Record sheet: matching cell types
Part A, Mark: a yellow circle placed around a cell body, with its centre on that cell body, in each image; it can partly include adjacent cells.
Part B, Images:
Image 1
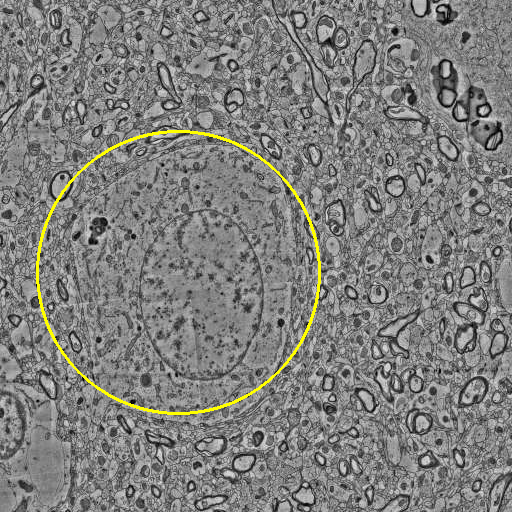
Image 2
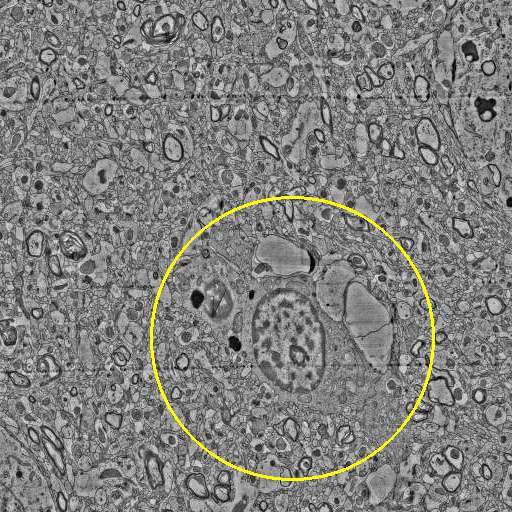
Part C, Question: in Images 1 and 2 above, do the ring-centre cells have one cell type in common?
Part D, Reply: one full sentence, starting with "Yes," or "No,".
No, the ring-centre cells of Image 1 and Image 2 are each of a separate cell type.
